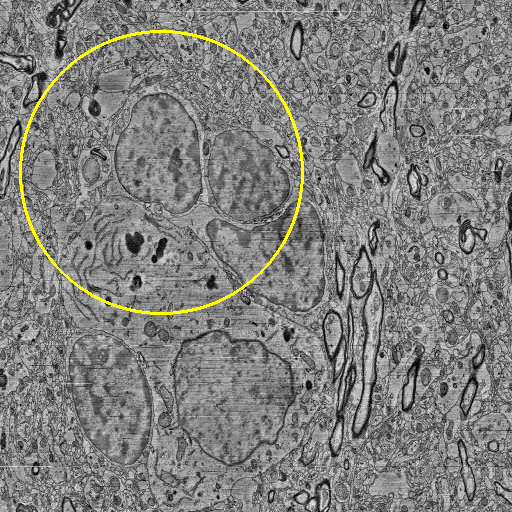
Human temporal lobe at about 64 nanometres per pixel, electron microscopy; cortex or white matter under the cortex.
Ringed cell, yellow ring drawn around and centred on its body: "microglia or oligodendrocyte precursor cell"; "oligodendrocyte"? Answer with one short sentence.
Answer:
This ringed cell is a microglial cell or oligodendrocyte precursor cell.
